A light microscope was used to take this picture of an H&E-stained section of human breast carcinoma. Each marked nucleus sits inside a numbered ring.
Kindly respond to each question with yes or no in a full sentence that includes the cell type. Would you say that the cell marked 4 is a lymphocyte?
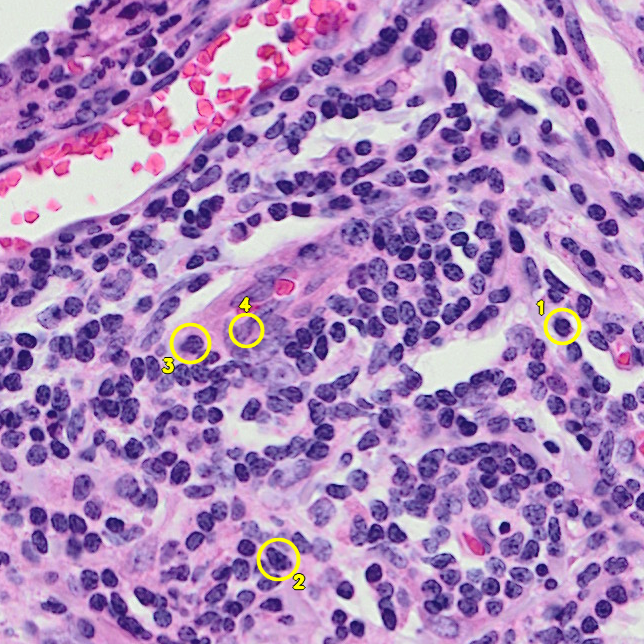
No, it is an endothelial cell, not a lymphocyte, that number 4 marks.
